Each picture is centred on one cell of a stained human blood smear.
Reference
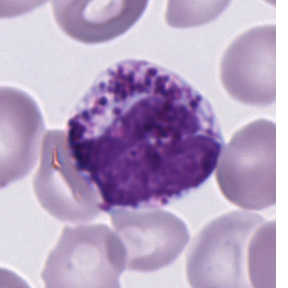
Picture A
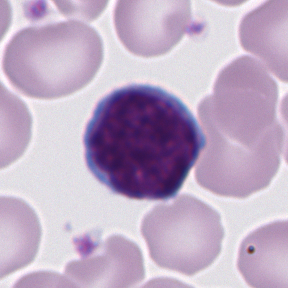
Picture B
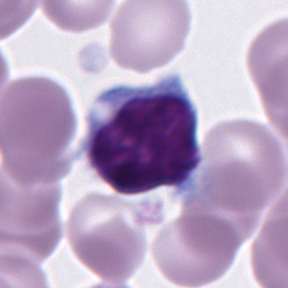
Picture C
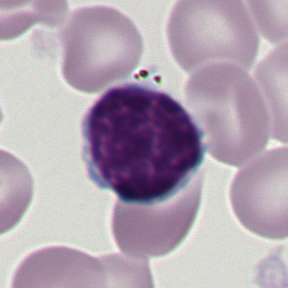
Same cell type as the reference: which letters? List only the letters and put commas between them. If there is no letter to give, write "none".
none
